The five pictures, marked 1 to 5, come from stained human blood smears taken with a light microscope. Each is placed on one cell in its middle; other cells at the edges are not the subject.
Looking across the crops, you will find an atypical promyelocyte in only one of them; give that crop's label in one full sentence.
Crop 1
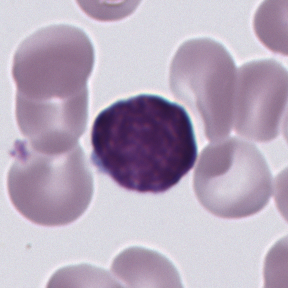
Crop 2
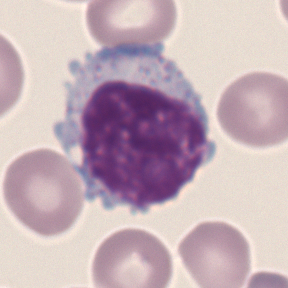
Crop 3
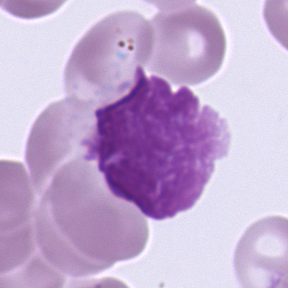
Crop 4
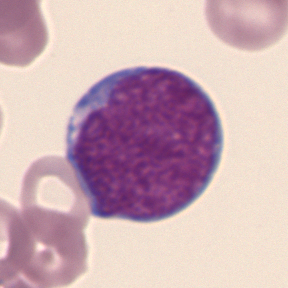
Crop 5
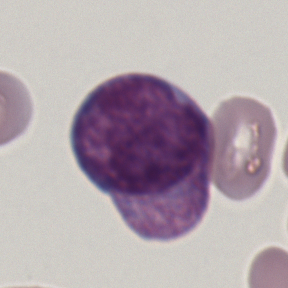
The crop showing an atypical promyelocyte in this series is crop 5.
